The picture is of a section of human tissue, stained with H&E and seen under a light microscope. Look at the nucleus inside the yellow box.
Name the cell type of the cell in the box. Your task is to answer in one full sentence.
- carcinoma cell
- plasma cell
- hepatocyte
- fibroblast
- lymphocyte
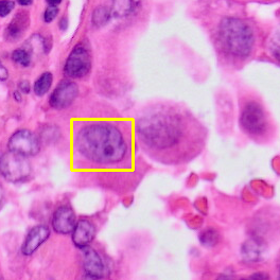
In the tissue under study, the cell in the box is a carcinoma cell.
